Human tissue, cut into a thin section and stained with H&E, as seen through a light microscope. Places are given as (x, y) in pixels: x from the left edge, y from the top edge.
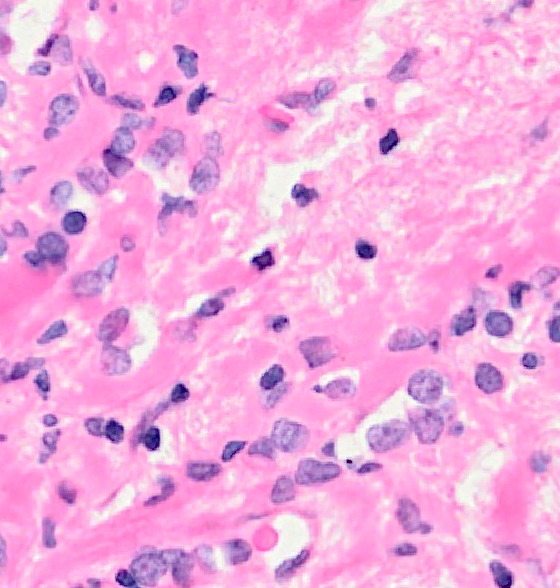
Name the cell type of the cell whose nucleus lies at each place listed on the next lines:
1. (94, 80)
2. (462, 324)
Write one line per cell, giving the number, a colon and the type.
1: endothelial cell
2: lymphocyte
